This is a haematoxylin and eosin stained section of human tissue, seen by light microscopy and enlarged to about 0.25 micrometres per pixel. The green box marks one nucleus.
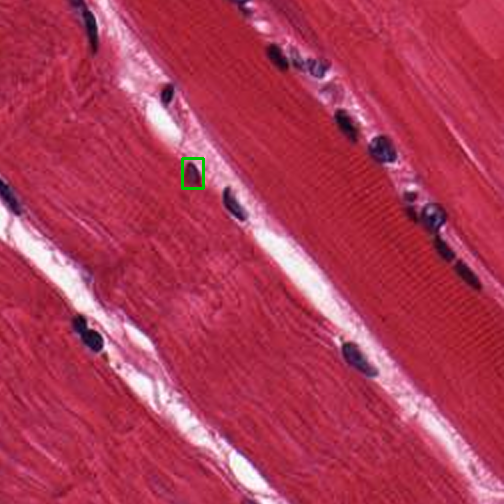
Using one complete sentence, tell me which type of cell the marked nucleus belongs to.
The marked nucleus here is the nucleus of a skeletal muscle fibre.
